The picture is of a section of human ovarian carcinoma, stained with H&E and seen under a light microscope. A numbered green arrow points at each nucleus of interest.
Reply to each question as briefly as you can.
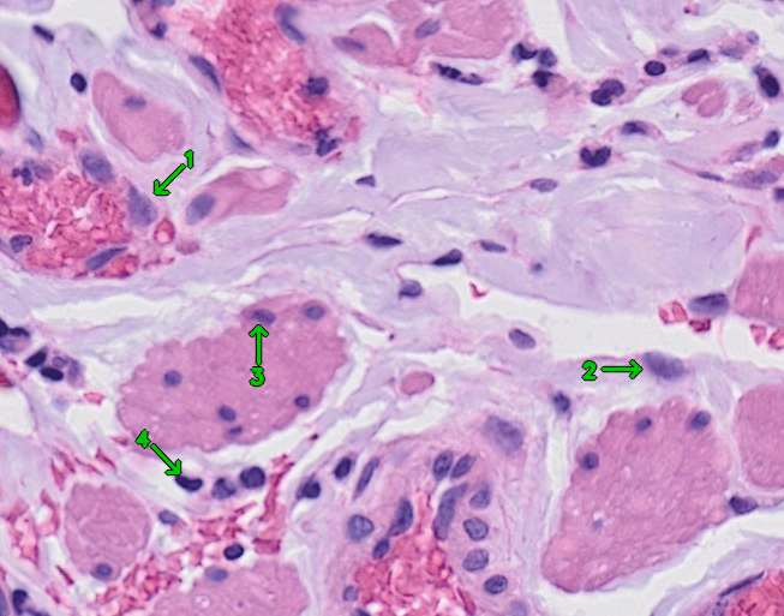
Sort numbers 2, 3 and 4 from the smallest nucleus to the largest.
3, 4, 2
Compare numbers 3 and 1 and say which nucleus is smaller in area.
3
